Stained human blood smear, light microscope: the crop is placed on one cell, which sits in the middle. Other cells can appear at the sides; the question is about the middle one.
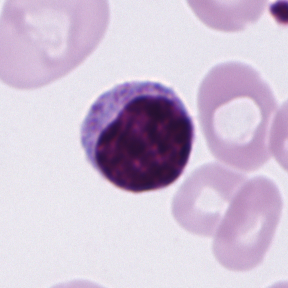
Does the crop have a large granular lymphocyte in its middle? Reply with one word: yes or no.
yes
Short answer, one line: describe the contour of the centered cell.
The border of this cell runs smooth and free of any projections.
